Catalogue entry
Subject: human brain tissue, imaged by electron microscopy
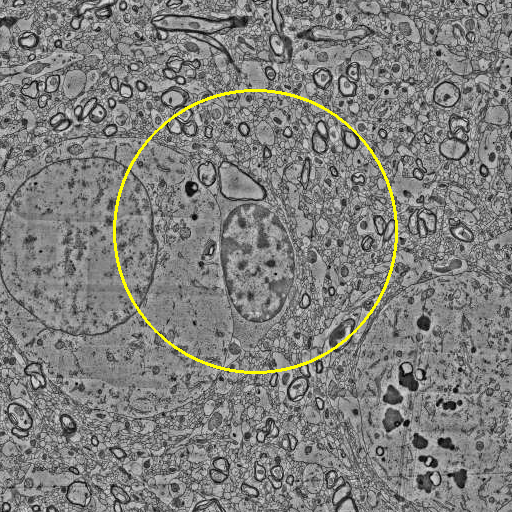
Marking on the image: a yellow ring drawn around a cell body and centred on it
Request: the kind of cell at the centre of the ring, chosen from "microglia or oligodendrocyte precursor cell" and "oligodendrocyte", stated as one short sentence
The ring has an oligodendrocyte at its centre.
